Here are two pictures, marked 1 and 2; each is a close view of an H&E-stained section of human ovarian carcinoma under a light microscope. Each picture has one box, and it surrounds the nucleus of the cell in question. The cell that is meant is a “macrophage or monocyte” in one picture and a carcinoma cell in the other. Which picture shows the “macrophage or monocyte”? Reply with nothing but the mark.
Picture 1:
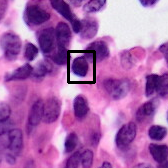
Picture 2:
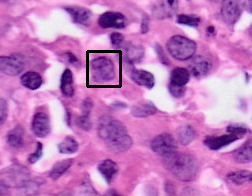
2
